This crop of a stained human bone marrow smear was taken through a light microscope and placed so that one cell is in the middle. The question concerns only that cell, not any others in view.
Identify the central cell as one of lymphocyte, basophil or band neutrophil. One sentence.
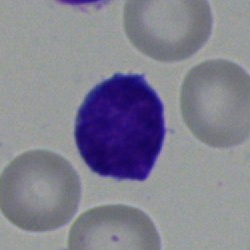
The cell occupying the middle of the crop is a lymphocyte.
